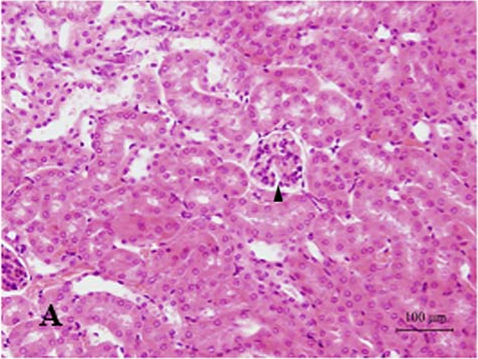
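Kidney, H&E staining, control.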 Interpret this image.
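This is renal cortex with many cross- and obliquely sectioned tubules and a glomerulus. The tubules are lined by cuboidal epithelial cells with evenly pink cytoplasm and round purple nuclei, arranged around narrow lumens. The glomerulus appears as a compact rounded tuft of closely packed nuclei inside a thin capsule with a slim clear space around it. Small clear interstitial spaces lie between the tubules.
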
